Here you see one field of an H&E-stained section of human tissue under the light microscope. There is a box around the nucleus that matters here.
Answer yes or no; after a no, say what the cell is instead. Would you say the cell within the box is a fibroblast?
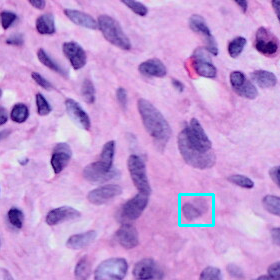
Yes.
